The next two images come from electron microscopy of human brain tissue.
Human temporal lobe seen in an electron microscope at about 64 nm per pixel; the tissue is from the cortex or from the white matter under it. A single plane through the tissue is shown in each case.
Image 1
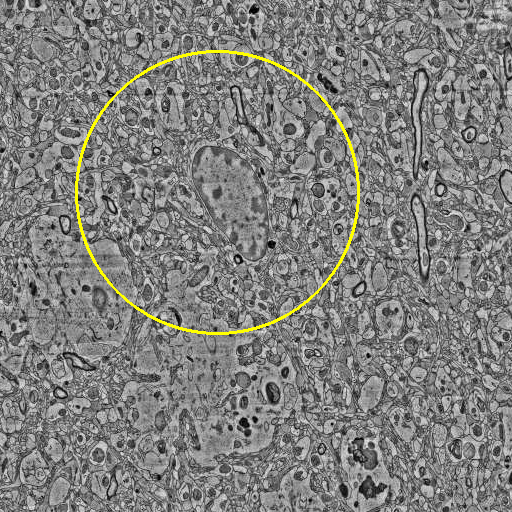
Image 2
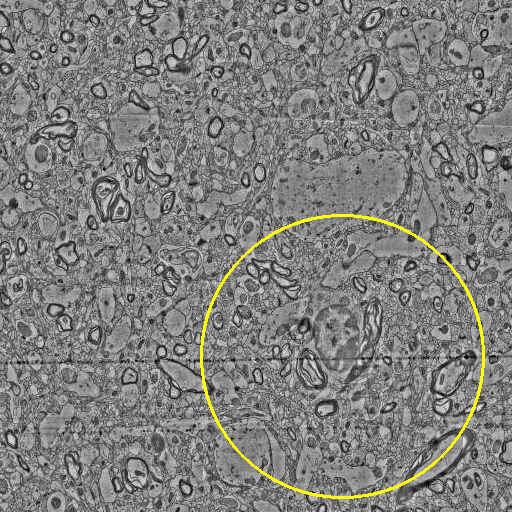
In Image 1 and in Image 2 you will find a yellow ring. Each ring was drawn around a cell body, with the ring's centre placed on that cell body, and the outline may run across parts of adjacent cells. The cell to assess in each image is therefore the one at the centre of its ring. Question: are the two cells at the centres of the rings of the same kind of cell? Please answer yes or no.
no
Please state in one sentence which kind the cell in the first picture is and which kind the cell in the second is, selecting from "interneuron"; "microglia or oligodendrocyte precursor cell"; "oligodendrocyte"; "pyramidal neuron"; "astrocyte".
The first ringed cell is a microglial cell or oligodendrocyte precursor cell, the second ringed cell an oligodendrocyte.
